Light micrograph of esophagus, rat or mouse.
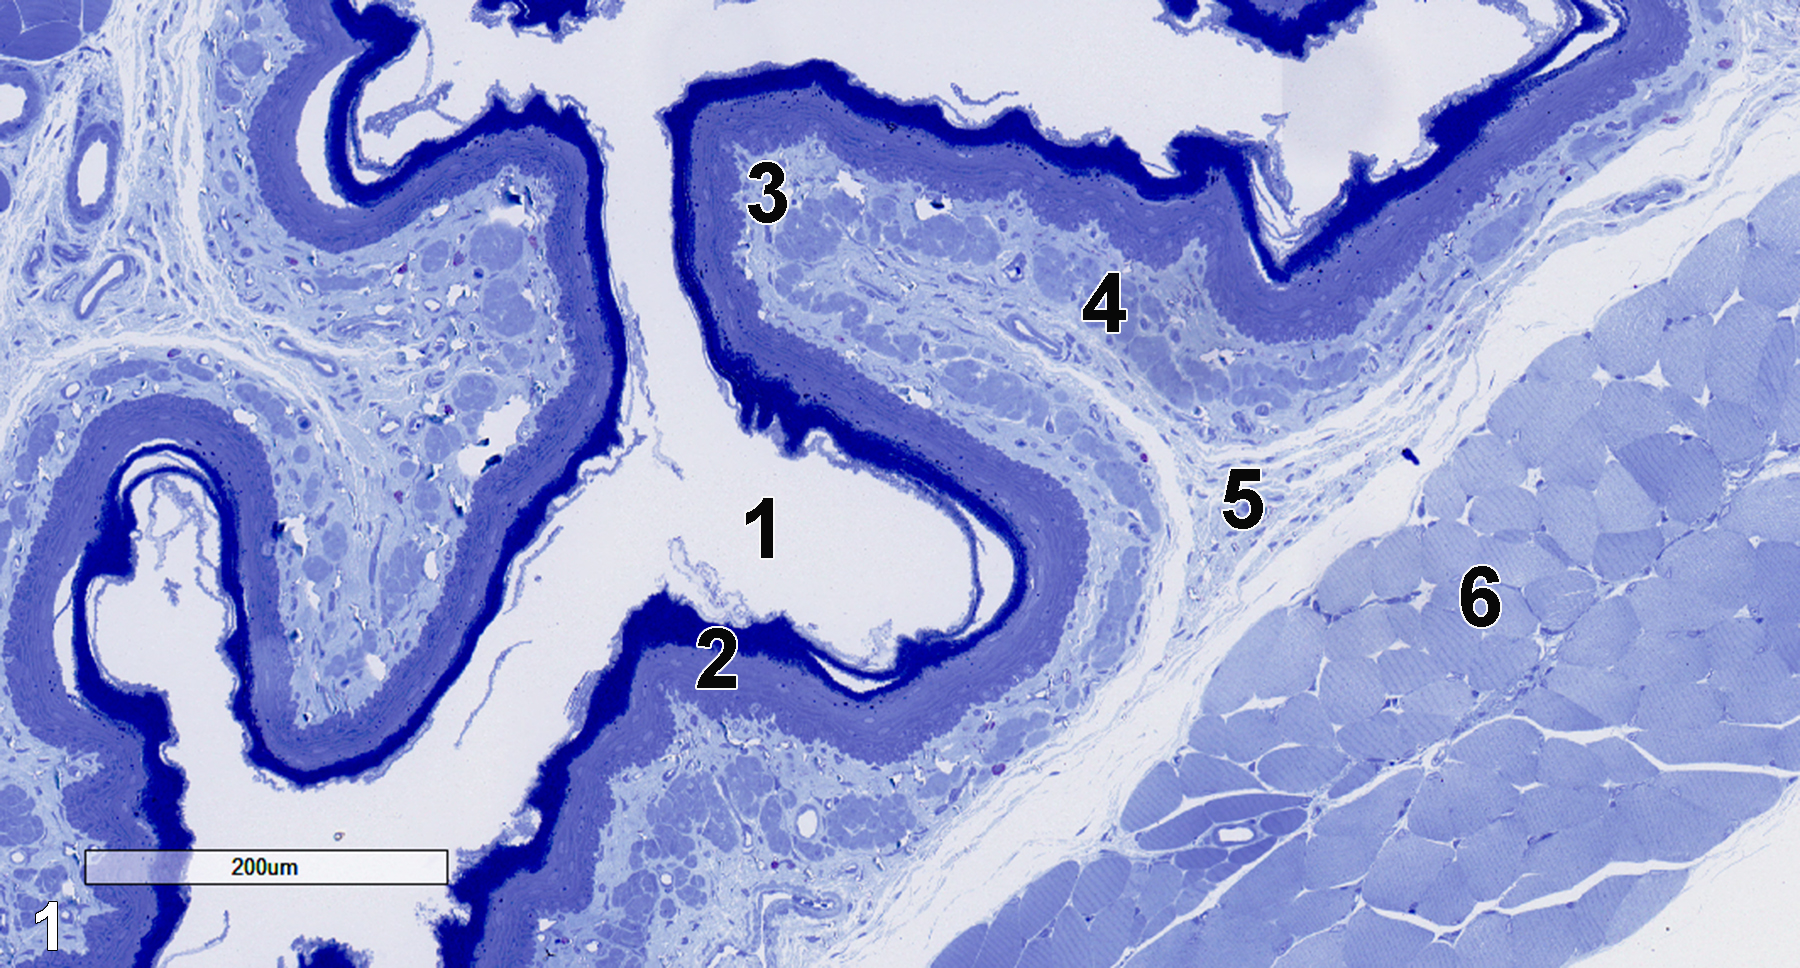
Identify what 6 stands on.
Inner layer of tunica muscularis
